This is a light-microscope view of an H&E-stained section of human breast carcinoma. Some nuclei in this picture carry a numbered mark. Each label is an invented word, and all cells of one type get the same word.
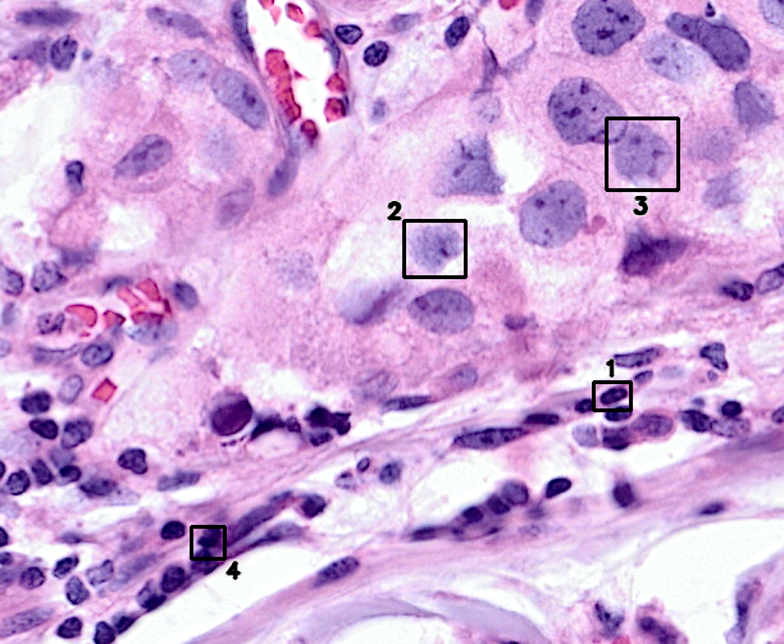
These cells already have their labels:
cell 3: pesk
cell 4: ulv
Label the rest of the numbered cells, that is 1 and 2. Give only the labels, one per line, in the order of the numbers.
ulv
pesk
